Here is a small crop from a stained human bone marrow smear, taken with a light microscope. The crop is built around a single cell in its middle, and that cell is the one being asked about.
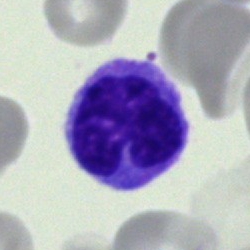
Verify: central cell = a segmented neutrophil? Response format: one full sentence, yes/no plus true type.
No, the centre cell is not a segmented neutrophil but a monocyte.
